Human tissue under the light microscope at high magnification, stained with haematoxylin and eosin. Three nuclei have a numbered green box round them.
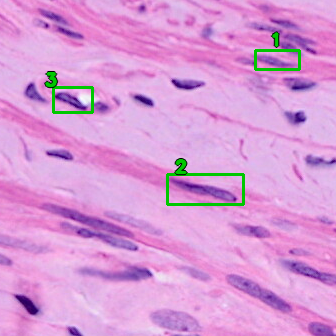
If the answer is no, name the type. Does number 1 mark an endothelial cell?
No, it is a smooth muscle cell.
